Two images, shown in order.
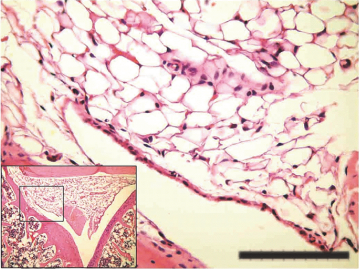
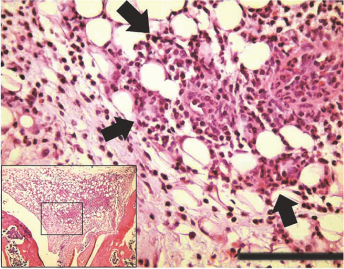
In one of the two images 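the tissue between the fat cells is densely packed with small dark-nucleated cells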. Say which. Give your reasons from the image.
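First image: large clear fat cells with thin pink septa and only scattered nuclei. Second image: sheets of small round dark purple nuclei crowd between and around the clear vacuoles. The answer: the second image.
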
